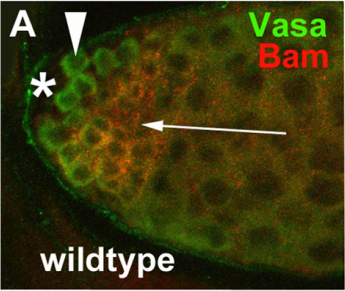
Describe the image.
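This is the apical region of a testis, with germline cells outlined in green around dark round nuclei. At the very tip lies a small ring of green-rimmed cells, and just behind them many germline cells are filled with red speckles so that they look orange-yellow. Farther back the cells are larger with paler signal.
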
